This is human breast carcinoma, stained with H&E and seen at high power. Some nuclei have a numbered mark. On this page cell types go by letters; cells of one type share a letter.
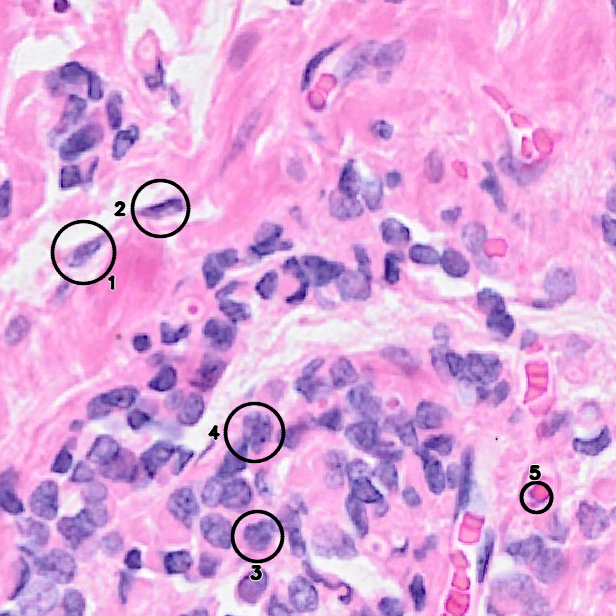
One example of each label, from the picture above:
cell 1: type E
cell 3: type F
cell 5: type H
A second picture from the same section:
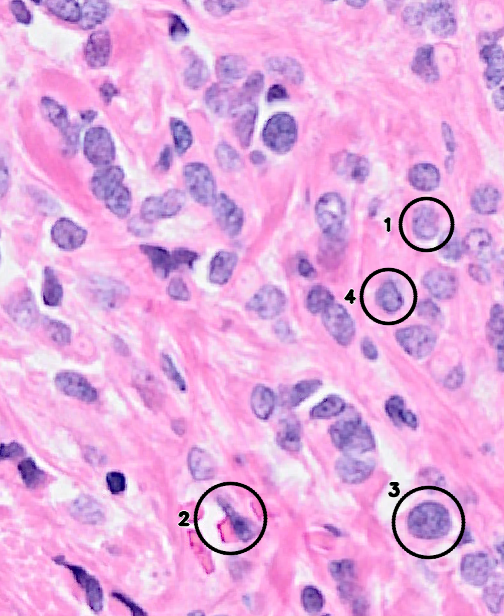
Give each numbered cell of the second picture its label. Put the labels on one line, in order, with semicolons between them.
type F; type H; type F; type F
